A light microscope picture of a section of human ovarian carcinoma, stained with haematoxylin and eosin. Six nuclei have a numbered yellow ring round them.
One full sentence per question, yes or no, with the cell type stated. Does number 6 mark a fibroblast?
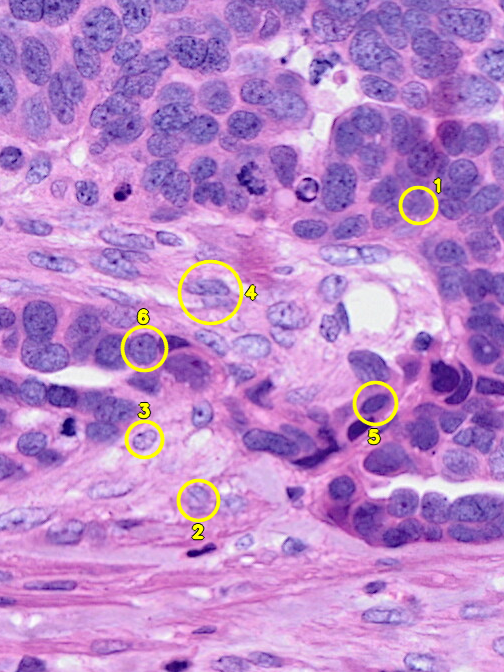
No, cell 6 is a carcinoma cell, not a fibroblast.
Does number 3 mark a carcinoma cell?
No, cell number 3 is a macrophage or monocyte; it is not a carcinoma cell.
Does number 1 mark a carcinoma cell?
Yes, cell number 1 in this section is a carcinoma cell.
